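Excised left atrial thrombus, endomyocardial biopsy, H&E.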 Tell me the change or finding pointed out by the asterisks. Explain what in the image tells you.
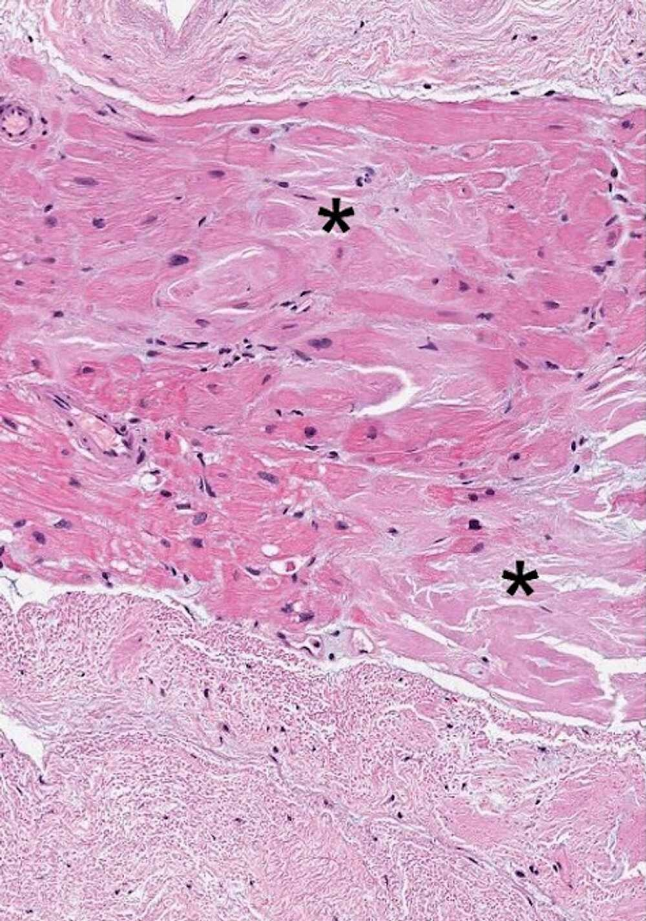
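Amorphous eosinophilic material. Pale pink, structureless material lies between the darker pink muscle fibres. The material has few or no nuclei within it. It separates and surrounds individual muscle cells.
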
